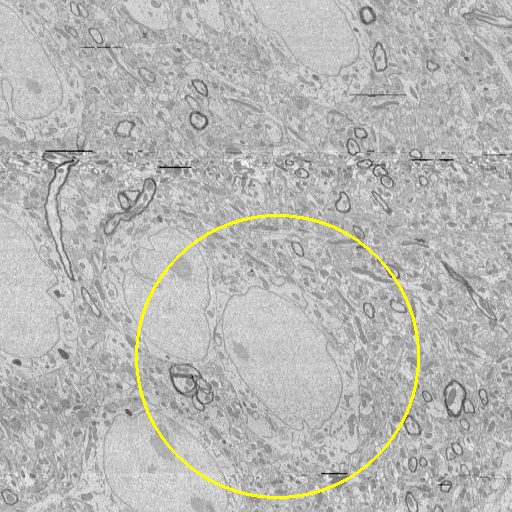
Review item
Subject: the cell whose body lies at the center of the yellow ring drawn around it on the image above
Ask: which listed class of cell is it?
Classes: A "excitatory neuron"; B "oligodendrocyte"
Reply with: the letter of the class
A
